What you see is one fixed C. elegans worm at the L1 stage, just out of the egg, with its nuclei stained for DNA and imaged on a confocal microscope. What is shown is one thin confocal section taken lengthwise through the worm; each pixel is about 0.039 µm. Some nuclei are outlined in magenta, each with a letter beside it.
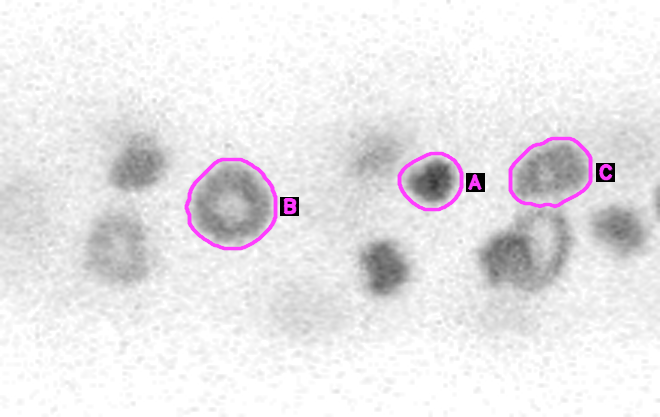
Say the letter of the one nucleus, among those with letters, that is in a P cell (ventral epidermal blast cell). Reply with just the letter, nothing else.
C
